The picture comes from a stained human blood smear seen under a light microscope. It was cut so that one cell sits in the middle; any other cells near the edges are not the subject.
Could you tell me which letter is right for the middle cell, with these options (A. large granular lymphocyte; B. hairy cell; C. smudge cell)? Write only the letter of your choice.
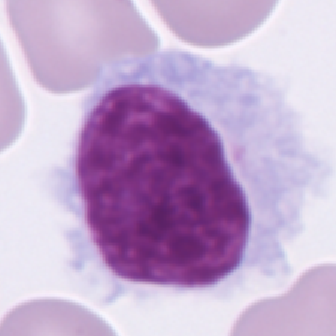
B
